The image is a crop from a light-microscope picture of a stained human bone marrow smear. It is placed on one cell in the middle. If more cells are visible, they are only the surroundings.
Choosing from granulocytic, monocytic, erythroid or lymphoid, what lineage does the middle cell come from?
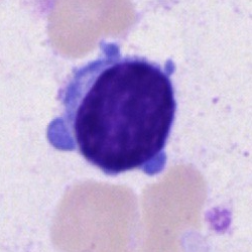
lymphoid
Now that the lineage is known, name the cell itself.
lymphocyte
